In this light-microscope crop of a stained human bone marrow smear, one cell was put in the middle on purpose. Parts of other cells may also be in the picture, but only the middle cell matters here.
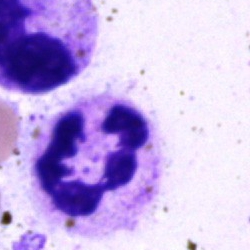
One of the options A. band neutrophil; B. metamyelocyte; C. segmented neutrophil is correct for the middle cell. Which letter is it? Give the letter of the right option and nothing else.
C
